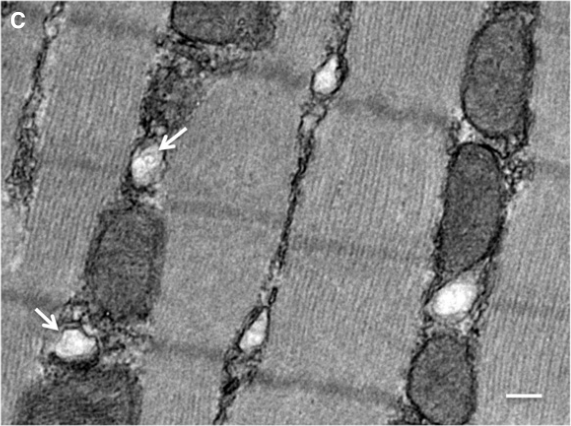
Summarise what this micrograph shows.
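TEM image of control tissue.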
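Heart muscle seen by transmission electron microscopy, with broad striated myofibrils running diagonally across the field and crossed by darker transverse bands. Between the myofibrils lie rows of dark oval mitochondria with cristae. Small pale round profiles of transverse tubules, cut in cross-section, sit between the myofibrils among the mitochondria, and in some of them thin folded membranes can be seen within the lumen.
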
